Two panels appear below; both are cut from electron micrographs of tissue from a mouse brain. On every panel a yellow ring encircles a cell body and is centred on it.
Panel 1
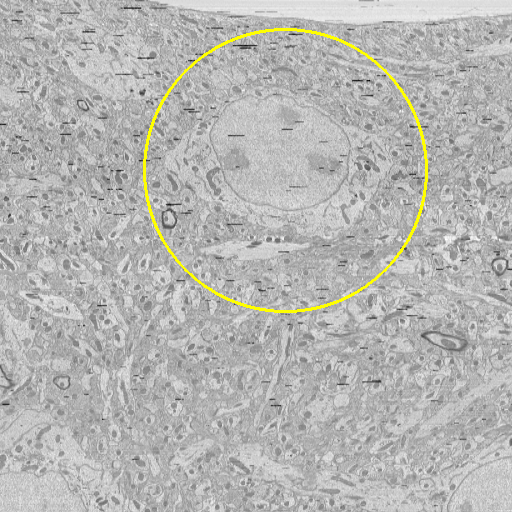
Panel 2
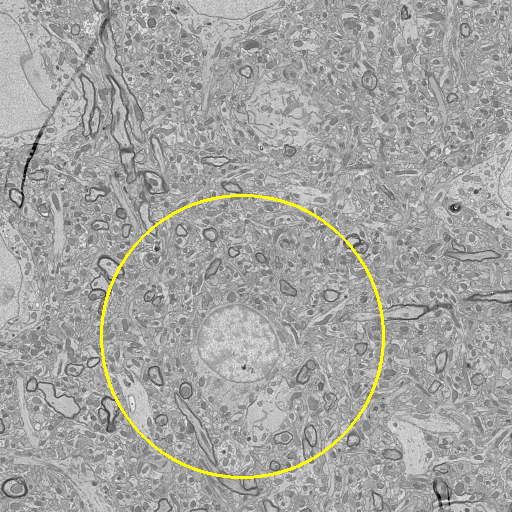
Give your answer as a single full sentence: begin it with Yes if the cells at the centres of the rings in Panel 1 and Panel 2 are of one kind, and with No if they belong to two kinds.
No, the cells in the middle of the rings in Panels 1 and 2 are of two kinds.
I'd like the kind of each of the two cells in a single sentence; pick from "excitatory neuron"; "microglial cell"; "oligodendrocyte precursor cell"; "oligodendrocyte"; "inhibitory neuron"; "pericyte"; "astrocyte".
The first ring marks an excitatory neuron, and the second ring marks an oligodendrocyte.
